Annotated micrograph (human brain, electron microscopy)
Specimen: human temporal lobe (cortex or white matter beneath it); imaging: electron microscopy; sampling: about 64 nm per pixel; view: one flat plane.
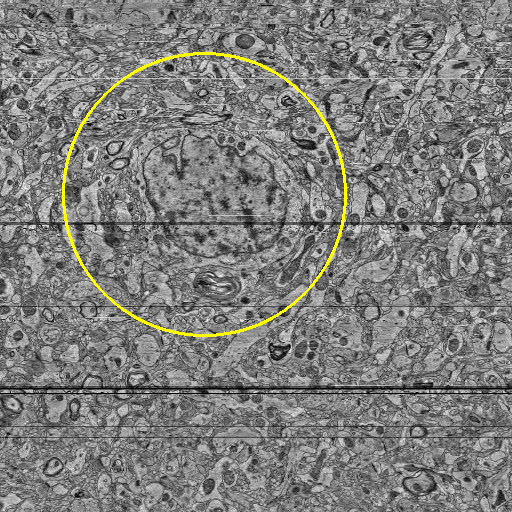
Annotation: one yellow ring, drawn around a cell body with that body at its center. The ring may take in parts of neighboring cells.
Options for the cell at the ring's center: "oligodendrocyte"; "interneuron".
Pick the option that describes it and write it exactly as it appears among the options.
interneuron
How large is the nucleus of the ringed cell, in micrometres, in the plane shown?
Approximately 10 micrometres long and 8 micrometres wide, in this plane.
